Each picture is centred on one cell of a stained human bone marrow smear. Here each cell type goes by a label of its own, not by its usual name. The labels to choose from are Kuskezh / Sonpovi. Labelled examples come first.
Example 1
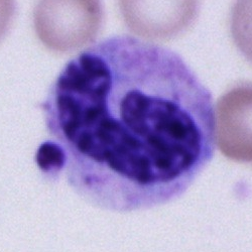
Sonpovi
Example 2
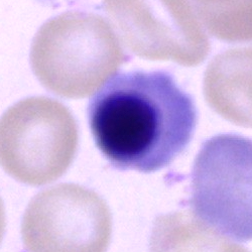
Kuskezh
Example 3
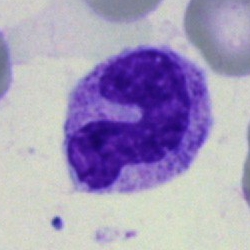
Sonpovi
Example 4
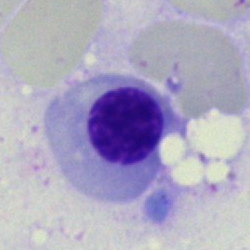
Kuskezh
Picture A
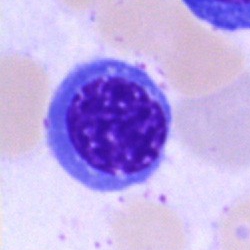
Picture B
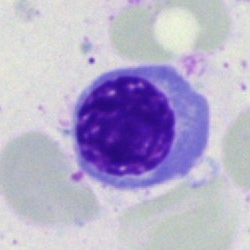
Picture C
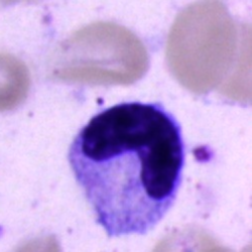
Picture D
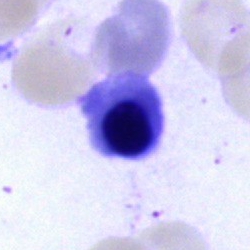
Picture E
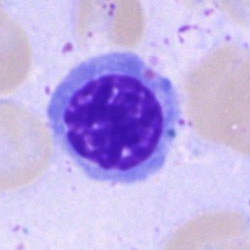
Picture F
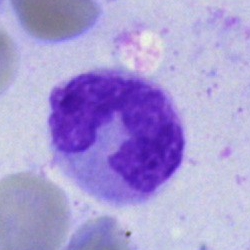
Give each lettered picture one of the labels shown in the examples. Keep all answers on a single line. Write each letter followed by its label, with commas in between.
A Kuskezh, B Kuskezh, C Sonpovi, D Kuskezh, E Kuskezh, F Sonpovi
